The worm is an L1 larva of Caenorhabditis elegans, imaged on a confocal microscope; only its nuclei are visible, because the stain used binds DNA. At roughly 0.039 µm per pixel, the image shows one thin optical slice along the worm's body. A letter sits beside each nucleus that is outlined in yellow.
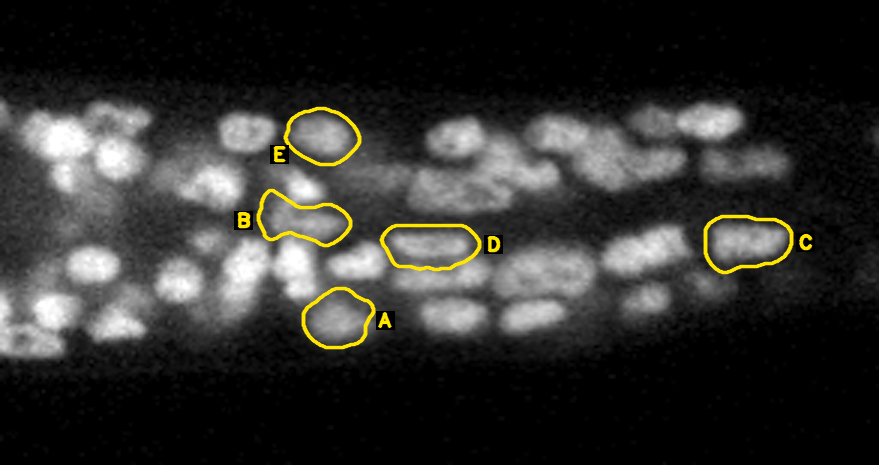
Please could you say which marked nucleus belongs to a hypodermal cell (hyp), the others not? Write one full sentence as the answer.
E is the one that belongs to a hypodermal cell (hyp).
